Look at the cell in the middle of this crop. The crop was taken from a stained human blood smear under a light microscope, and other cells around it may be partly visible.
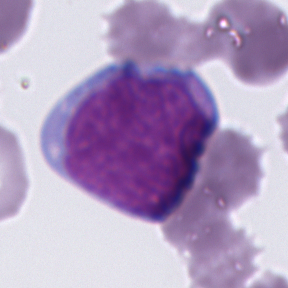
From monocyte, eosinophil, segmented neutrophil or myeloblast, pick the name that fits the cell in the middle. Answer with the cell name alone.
myeloblast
